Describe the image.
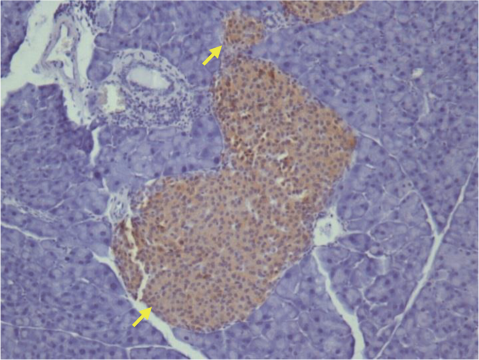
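The large islets appear joined into one lobulated mass bordered closely by acinar lobules. At the upper left, loose connective tissue surrounds a duct and small vessels.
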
